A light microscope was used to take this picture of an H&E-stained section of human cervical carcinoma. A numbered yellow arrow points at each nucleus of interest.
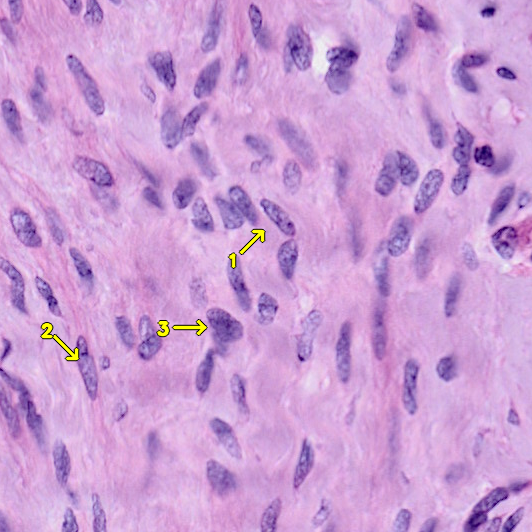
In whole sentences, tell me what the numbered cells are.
Cells 1 and 3 are fibroblasts. Cell 2 is a smooth muscle cell.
